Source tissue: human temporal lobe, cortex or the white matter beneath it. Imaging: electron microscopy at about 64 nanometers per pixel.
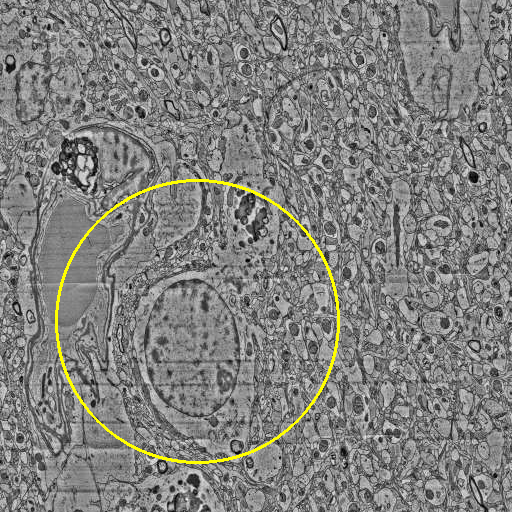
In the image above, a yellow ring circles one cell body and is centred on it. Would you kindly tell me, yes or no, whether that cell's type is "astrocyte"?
yes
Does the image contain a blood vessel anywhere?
Yes, there is a blood vessel.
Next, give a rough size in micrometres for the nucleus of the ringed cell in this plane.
In this plane, approximately 9 by 6 micrometers.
